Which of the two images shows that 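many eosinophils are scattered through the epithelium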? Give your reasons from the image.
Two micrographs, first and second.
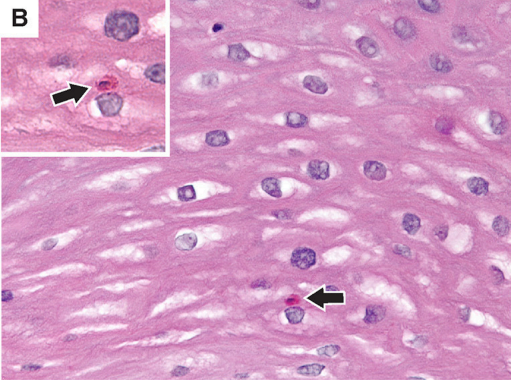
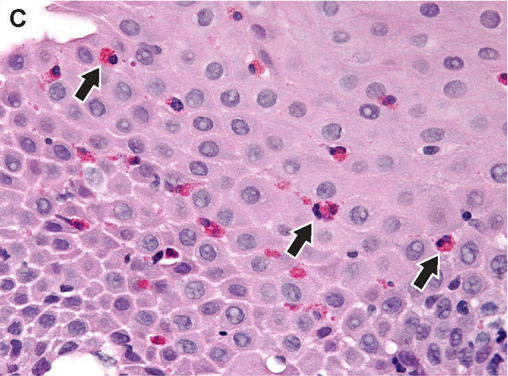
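First image: only a couple of red-granular cells among pale squamous cells. Second image: numerous red-granular cells scattered throughout the epithelium.
Hence: the second image.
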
